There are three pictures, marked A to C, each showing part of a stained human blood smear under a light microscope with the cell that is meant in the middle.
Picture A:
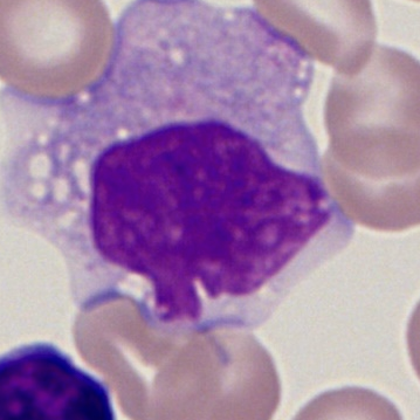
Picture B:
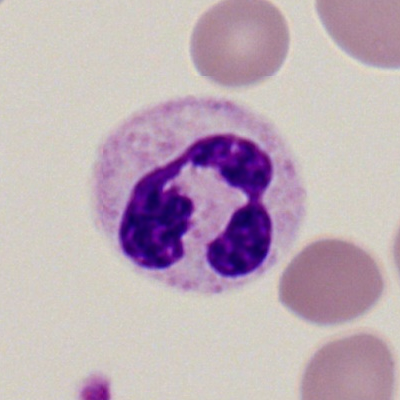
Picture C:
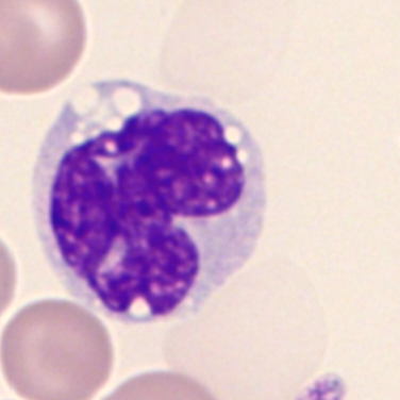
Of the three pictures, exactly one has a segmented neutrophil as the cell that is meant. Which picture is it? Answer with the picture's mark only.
B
